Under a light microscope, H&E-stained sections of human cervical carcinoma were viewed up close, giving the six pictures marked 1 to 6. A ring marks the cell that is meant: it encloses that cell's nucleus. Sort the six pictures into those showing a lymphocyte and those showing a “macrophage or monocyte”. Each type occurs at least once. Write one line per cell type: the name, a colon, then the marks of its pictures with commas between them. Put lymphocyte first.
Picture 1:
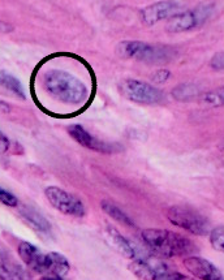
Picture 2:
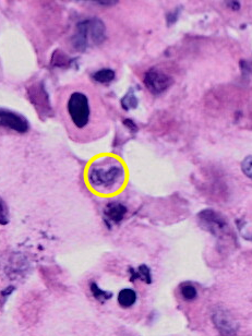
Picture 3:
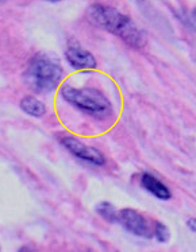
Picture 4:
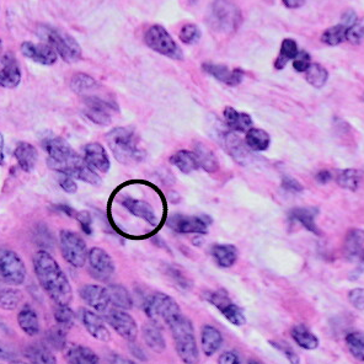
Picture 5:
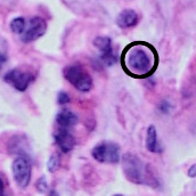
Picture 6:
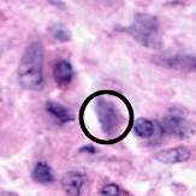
lymphocyte: 4, 5
macrophage or monocyte: 1, 2, 3, 6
